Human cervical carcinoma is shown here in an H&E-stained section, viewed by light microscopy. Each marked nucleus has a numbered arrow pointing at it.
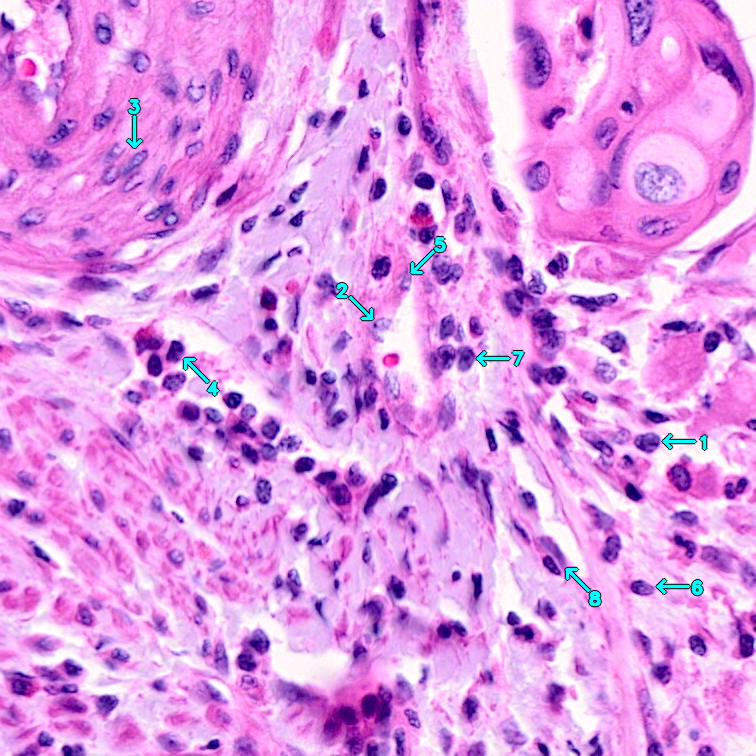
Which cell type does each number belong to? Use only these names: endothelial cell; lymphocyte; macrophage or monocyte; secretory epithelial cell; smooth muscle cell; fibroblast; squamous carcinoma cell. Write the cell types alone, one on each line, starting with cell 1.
lymphocyte
endothelial cell
smooth muscle cell
lymphocyte
endothelial cell
lymphocyte
lymphocyte
macrophage or monocyte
